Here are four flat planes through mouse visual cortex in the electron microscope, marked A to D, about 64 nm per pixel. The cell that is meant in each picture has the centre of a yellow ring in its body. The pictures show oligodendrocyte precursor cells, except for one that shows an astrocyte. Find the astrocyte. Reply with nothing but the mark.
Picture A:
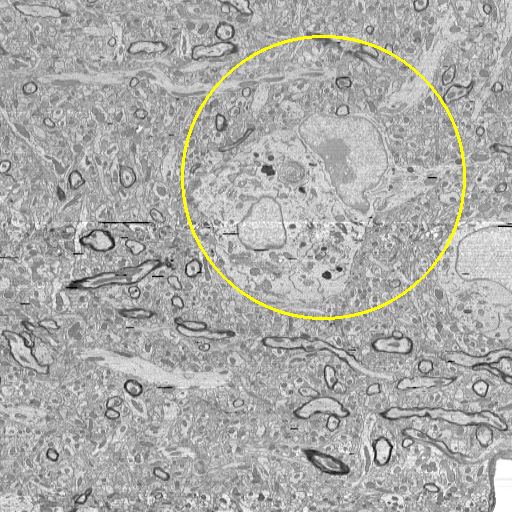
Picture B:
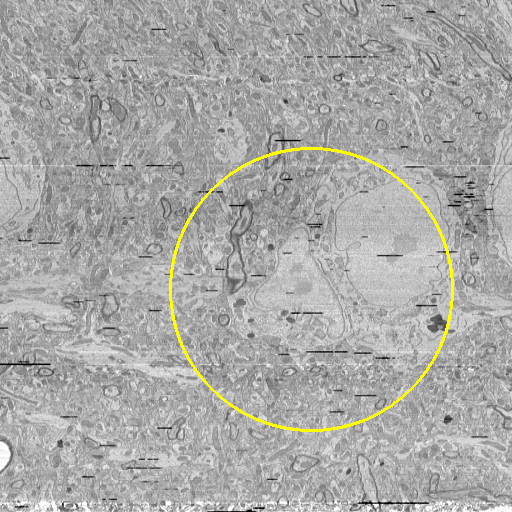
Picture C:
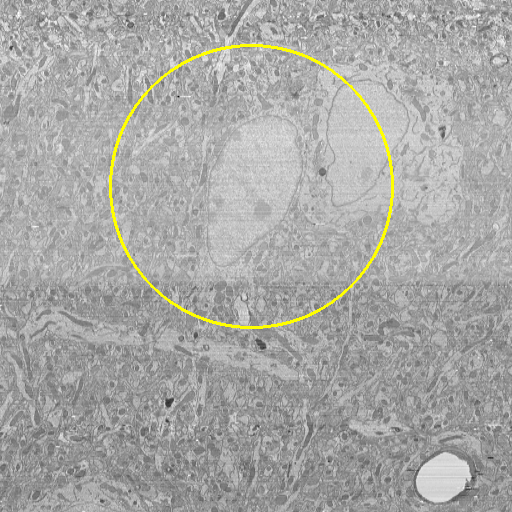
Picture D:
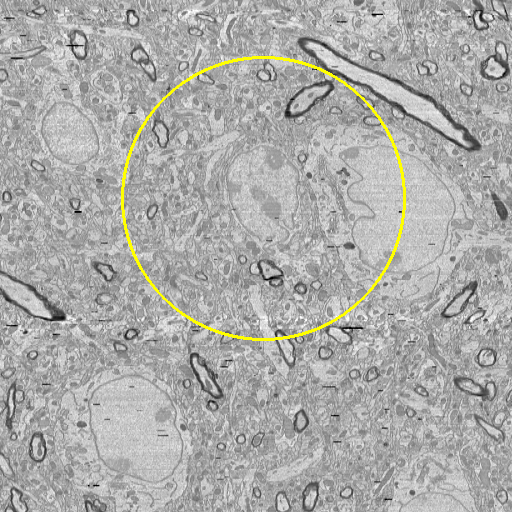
C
